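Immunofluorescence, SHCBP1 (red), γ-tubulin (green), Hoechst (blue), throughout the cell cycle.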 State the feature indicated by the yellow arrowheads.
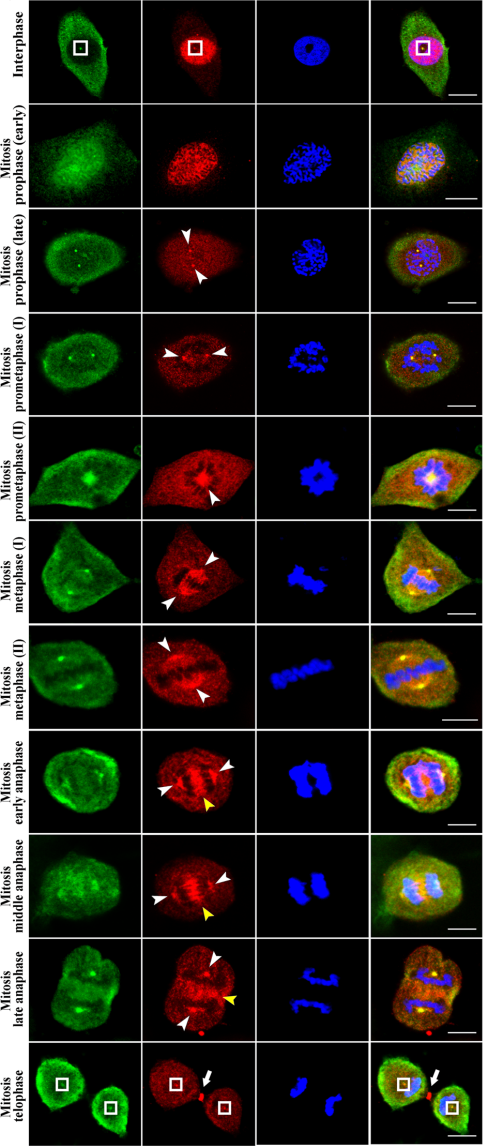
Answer: Central spindle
